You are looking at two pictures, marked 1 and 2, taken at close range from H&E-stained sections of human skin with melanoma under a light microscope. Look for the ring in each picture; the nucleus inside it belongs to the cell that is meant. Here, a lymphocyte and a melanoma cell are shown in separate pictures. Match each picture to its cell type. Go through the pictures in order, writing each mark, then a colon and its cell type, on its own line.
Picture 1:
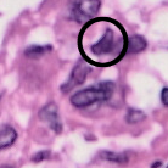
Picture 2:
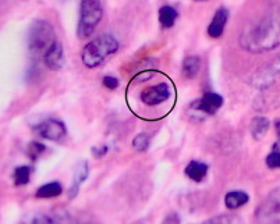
1: melanoma cell
2: lymphocyte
